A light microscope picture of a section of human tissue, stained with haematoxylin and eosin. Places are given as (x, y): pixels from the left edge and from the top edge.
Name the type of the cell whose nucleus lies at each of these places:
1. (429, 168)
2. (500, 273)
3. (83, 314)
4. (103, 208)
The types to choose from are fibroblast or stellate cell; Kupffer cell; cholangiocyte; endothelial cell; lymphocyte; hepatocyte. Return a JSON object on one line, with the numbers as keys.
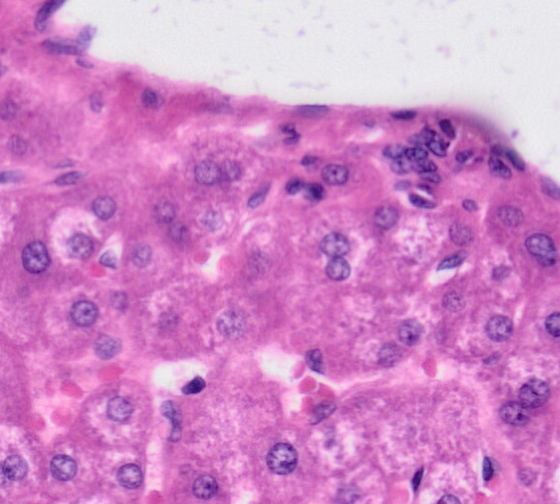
{"1": "cholangiocyte", "2": "hepatocyte", "3": "hepatocyte", "4": "hepatocyte"}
